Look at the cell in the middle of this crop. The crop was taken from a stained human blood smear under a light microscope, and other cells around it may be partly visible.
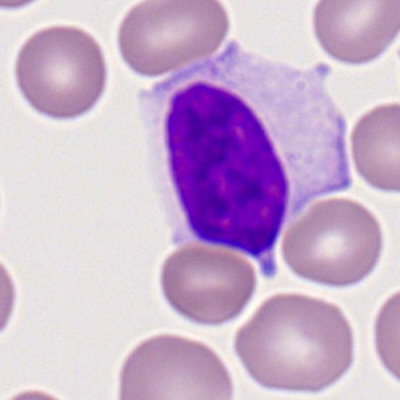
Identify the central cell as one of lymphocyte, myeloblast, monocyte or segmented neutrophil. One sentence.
As for the cell in the middle, it is a lymphocyte.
